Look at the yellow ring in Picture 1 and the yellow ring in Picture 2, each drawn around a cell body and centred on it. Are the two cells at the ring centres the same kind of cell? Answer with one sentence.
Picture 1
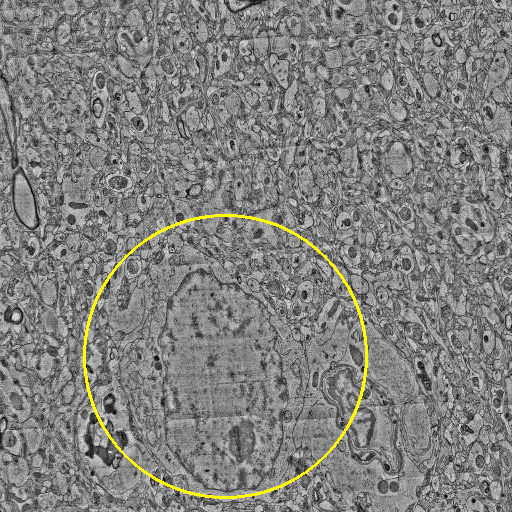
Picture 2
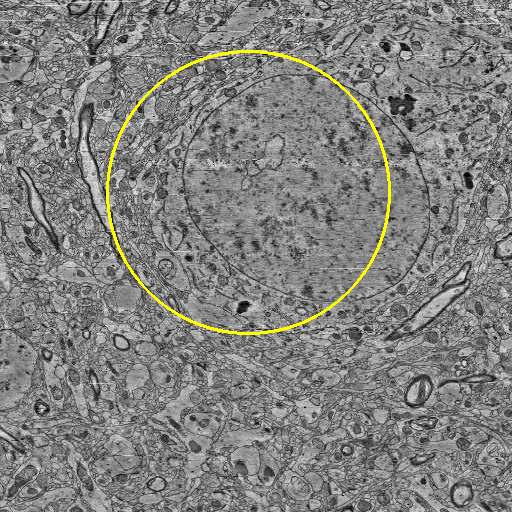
No, they are cells of two kinds.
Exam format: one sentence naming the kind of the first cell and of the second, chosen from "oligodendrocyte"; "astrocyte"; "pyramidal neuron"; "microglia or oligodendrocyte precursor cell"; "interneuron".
The first picture's cell is an interneuron, and the second picture's cell is a pyramidal neuron.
